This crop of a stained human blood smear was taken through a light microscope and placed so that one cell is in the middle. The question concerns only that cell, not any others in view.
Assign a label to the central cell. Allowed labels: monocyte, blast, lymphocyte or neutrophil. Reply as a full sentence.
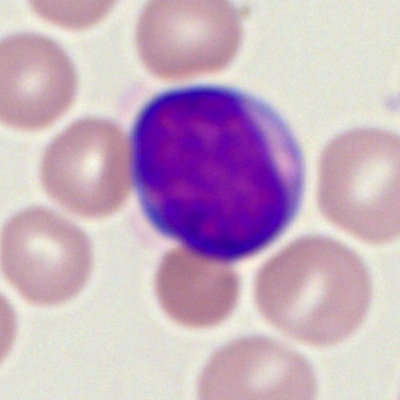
The crop centres on a single cell, and that cell is a blast.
